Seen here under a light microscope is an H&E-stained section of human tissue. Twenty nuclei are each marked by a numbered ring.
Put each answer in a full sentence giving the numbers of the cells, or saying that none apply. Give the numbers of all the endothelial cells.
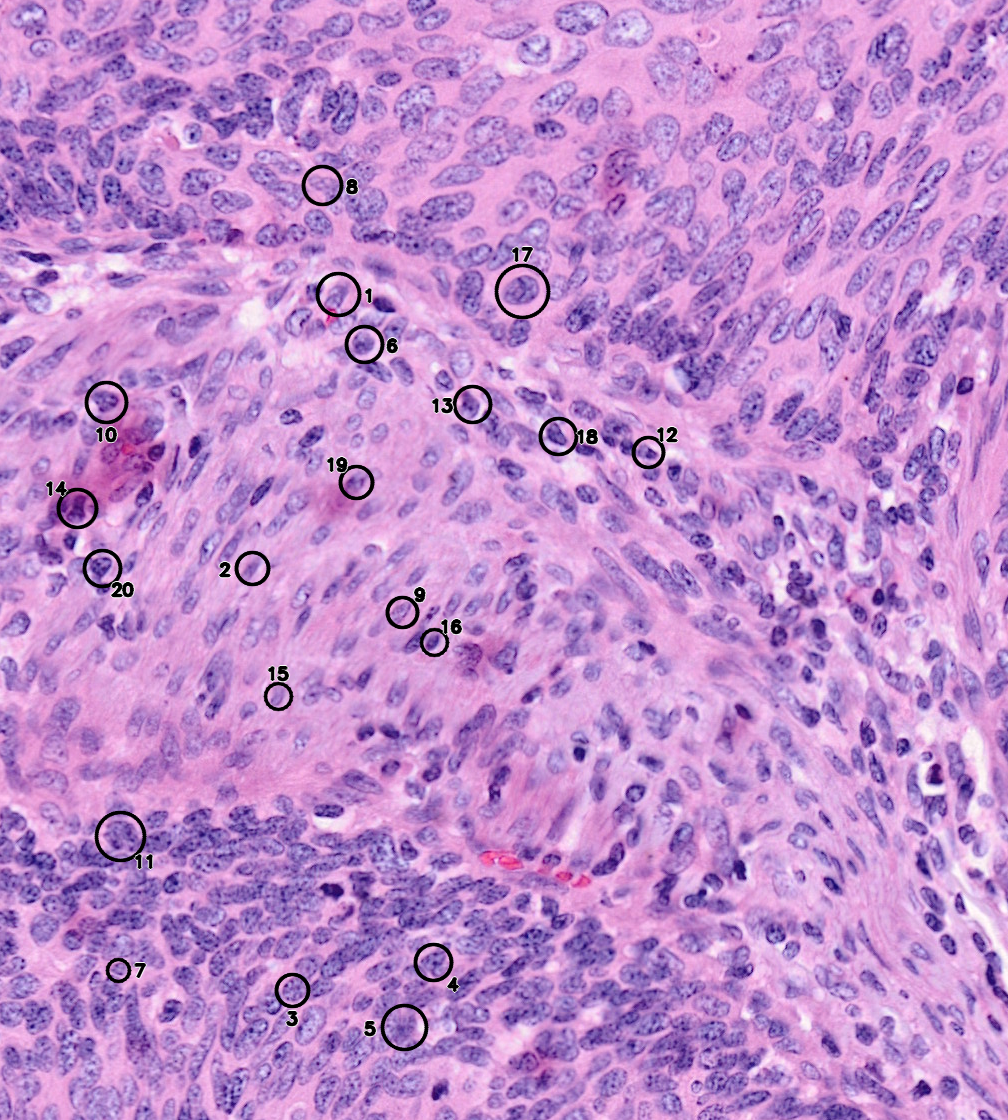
Cell 1 is the one numbered cell that is an endothelial cell.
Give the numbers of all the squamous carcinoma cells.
The cells marked with the numbers 3, 4, 5, 7, 8, 11 and 17 are squamous carcinoma cells.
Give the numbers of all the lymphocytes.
Cells 6, 10, 12, 13, 14, 16, 18 and 20 share one type; they are lymphocytes.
